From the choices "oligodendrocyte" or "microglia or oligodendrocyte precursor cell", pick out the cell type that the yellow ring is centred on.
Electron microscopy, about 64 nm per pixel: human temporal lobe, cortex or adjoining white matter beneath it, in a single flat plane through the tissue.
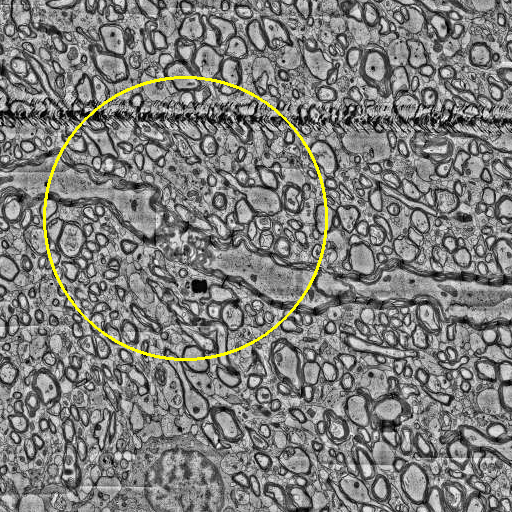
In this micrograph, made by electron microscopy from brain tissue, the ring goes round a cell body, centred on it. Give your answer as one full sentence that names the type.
The yellow ring is centred on a microglial cell or oligodendrocyte precursor cell, whose cell body it encircles in the picture.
